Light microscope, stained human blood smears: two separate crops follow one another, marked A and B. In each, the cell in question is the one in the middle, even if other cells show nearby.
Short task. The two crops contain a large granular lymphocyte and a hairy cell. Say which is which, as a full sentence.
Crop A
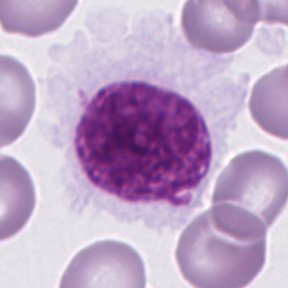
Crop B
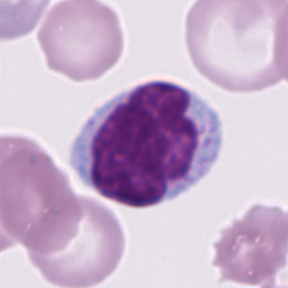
Identified in crop A is a hairy cell, with a large granular lymphocyte identified in crop B.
